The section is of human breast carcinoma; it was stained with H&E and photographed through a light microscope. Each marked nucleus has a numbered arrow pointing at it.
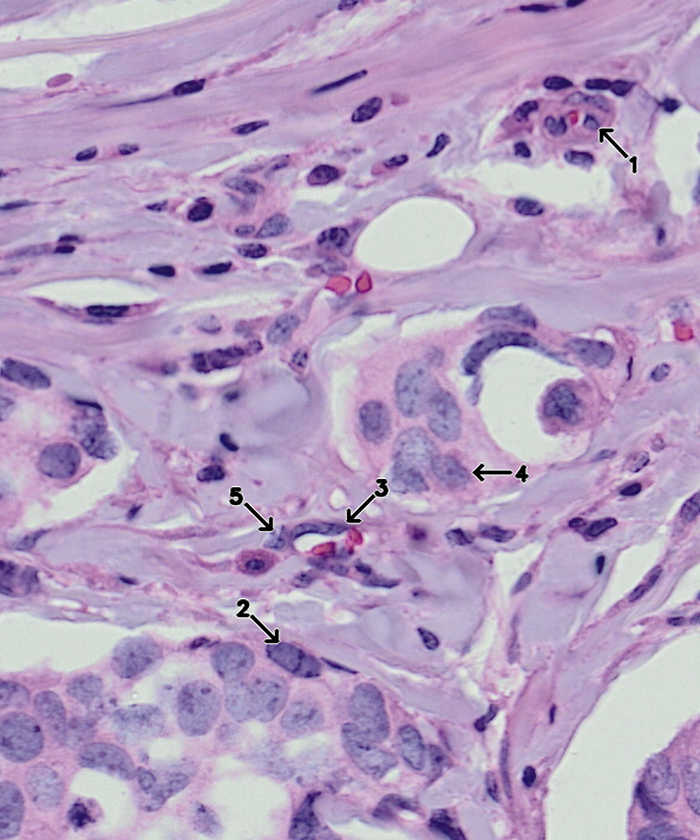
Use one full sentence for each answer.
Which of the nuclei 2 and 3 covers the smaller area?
Nucleus 3 covers less area, with nucleus 2 about 4 times as large.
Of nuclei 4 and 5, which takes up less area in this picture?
Nucleus 5 covers less area, with nucleus 4 about 4 times as large.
